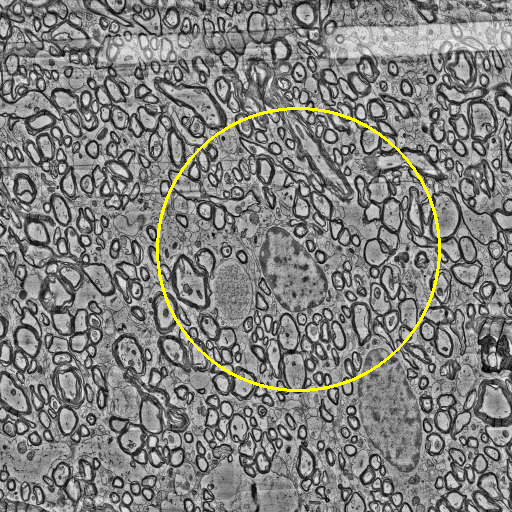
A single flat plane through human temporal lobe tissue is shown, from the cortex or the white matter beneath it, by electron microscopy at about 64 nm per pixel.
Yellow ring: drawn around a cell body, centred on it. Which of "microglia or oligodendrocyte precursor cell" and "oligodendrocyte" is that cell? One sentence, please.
That cell body is from a microglial cell or oligodendrocyte precursor cell.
